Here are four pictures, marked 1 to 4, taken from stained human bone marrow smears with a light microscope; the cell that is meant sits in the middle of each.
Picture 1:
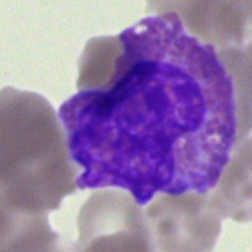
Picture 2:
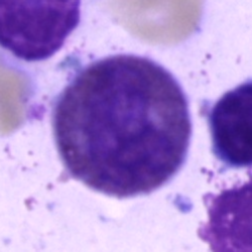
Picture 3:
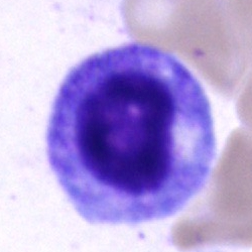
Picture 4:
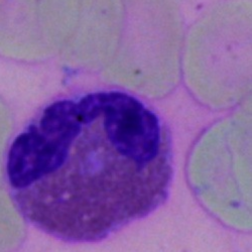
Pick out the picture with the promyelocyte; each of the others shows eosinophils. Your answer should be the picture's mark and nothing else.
3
